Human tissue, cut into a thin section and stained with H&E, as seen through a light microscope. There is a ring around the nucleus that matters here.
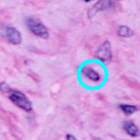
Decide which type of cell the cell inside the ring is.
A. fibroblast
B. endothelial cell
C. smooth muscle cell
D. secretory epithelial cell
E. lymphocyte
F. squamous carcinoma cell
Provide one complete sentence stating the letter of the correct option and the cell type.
The accurate option is C, with the cell inside the ring being a smooth muscle cell.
